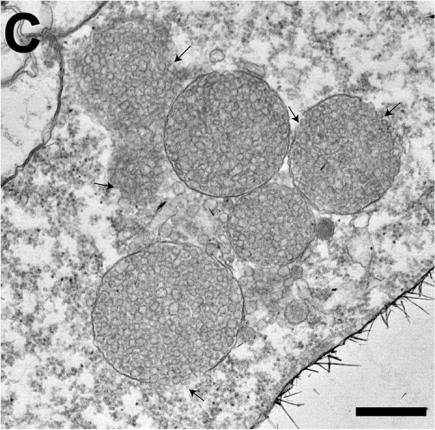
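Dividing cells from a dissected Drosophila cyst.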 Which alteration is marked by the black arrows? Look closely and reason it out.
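Discontinuity in outer membranes. The arrows point at the rims of the vesicle-filled round bodies. At the arrowed places the bounding membrane is not seen as a continuous line.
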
